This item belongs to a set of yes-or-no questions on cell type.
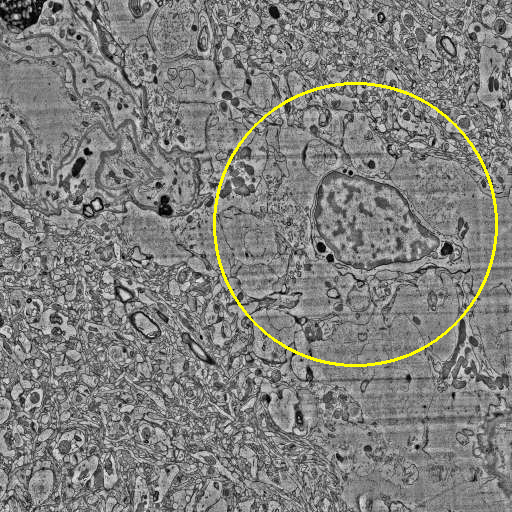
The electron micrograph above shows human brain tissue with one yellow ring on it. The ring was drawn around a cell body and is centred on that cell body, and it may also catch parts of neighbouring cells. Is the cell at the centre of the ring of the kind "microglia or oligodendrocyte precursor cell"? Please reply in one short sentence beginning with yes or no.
Yes, that cell is of the named kind.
